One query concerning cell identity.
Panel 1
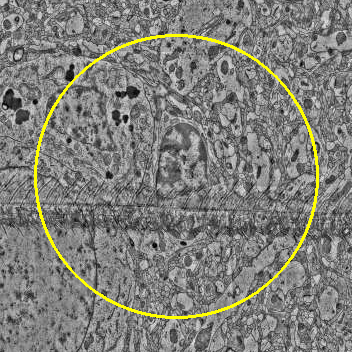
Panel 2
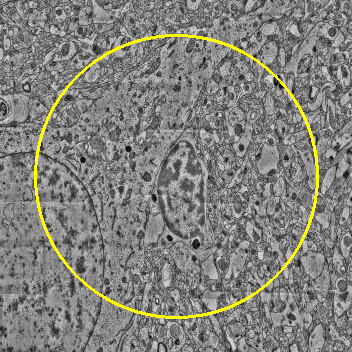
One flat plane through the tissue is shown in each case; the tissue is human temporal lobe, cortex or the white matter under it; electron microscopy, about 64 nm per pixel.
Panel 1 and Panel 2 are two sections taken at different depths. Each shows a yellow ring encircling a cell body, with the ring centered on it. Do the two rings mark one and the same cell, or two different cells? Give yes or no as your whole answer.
yes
